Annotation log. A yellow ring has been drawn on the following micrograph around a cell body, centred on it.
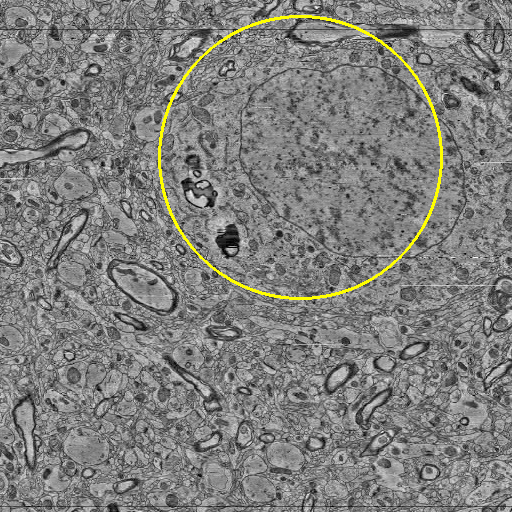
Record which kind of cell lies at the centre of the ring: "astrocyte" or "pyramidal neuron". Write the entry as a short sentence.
The cell the ring is centred on is a pyramidal neuron.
